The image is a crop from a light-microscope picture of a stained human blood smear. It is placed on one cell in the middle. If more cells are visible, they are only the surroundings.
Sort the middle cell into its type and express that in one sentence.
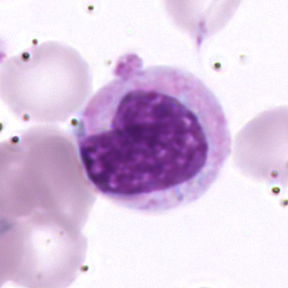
The cell occupying the middle of the crop is a metamyelocyte.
